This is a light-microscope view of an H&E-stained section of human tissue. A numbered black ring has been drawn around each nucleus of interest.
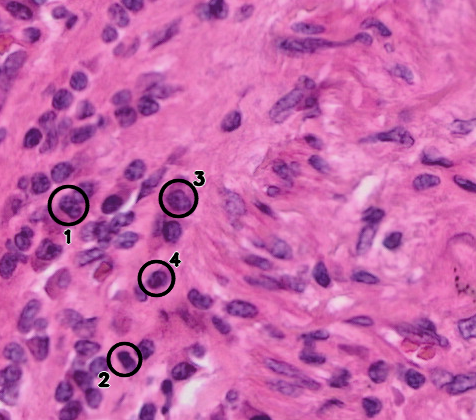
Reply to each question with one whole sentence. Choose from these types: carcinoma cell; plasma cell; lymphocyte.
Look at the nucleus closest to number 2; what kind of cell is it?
The nucleus nearest to number 2 is that of a lymphocyte.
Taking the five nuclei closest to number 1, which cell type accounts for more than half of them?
Around number 1, most of the five nearest nuclei are those of lymphocytes.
